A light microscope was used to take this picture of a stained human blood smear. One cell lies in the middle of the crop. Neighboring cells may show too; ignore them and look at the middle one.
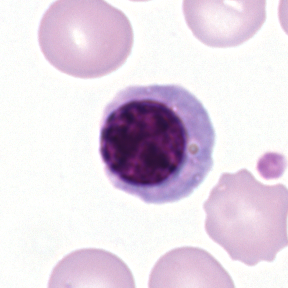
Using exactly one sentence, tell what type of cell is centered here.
The centrally placed cell is classified as a normoblast.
